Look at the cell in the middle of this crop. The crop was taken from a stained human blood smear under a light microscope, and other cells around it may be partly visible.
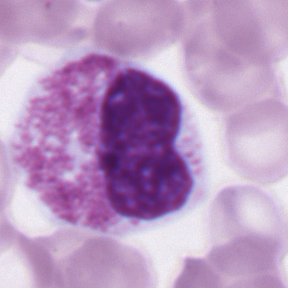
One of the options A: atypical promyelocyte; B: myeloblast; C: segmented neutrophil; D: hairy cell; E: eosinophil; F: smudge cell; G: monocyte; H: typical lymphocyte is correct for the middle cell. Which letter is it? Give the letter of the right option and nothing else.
E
